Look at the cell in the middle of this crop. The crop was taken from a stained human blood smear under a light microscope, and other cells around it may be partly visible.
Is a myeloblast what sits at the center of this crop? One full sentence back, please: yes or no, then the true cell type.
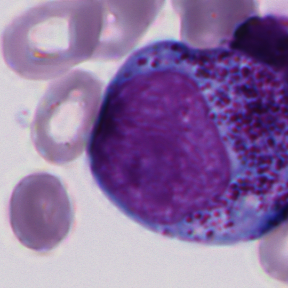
No, the cell placed at the center is a promyelocyte rather than a myeloblast.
